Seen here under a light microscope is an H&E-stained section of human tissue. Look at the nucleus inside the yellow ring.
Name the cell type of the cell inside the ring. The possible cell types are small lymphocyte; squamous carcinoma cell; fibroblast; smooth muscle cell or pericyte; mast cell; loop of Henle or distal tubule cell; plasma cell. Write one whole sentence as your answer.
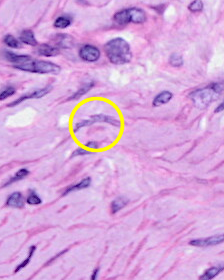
The cell inside the ring is a fibroblast.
